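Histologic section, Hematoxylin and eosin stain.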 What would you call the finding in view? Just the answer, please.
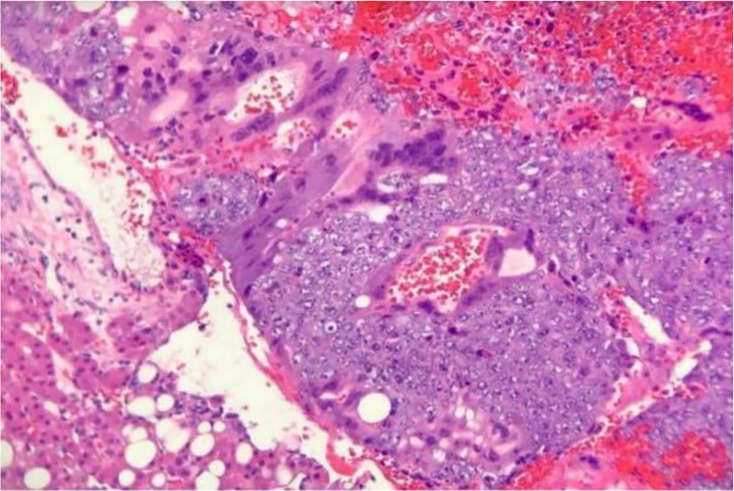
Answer: Choriocarcinoma.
